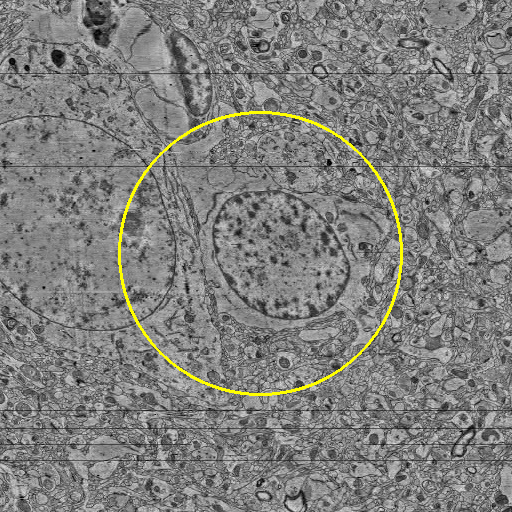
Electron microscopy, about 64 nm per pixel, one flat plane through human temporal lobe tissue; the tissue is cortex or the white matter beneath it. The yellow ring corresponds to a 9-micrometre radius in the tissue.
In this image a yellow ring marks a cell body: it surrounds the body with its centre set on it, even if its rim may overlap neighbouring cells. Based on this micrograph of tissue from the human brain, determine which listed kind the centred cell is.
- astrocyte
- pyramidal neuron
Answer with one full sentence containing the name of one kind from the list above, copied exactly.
It is an astrocyte whose body the yellow ring encloses at its centre.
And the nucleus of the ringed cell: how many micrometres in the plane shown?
The nucleus appears roughly 9 by 7 micrometres in this plane.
